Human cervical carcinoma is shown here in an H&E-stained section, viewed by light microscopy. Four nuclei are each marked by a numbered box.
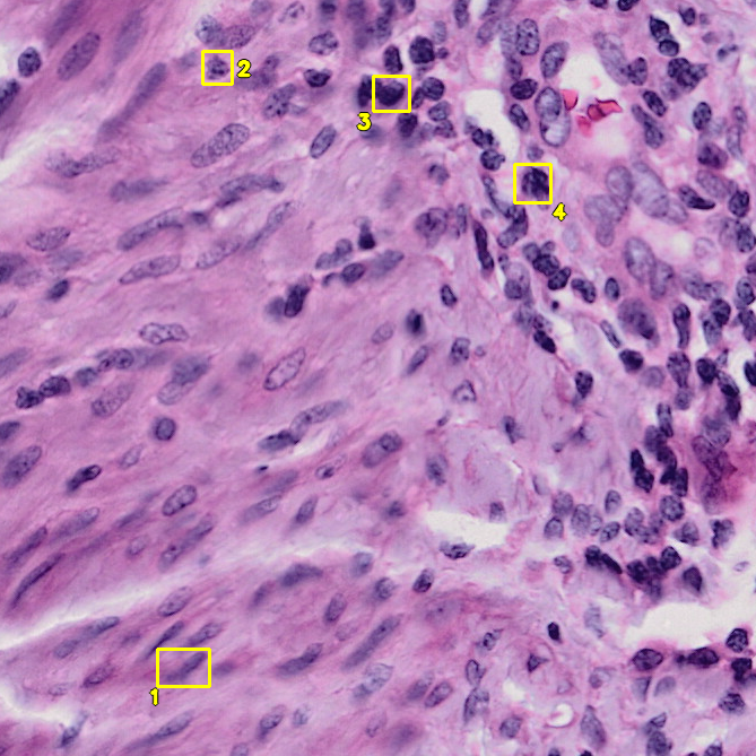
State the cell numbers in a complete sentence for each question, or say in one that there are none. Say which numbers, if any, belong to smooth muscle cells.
Whereas cell 1 is a smooth muscle cell, the other numbered cells are not.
